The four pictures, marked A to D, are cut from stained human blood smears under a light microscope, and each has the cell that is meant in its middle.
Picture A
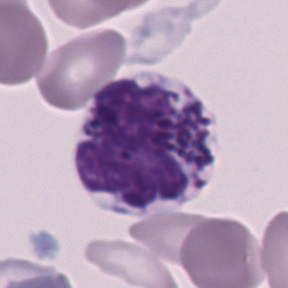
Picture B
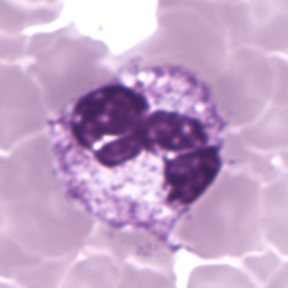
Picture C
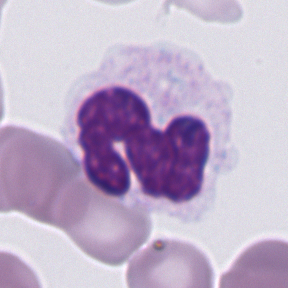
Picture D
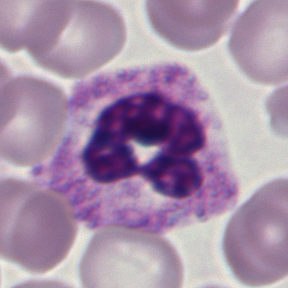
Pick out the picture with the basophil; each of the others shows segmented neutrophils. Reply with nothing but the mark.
A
